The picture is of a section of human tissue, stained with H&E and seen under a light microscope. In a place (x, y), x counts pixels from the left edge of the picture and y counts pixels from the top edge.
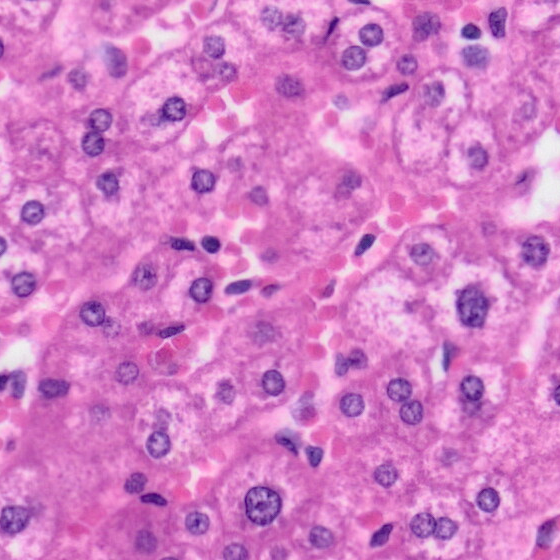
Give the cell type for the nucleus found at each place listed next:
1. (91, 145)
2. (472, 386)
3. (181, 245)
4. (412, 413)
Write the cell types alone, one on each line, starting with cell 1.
hepatocyte
hepatocyte
fibroblast or stellate cell
hepatocyte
